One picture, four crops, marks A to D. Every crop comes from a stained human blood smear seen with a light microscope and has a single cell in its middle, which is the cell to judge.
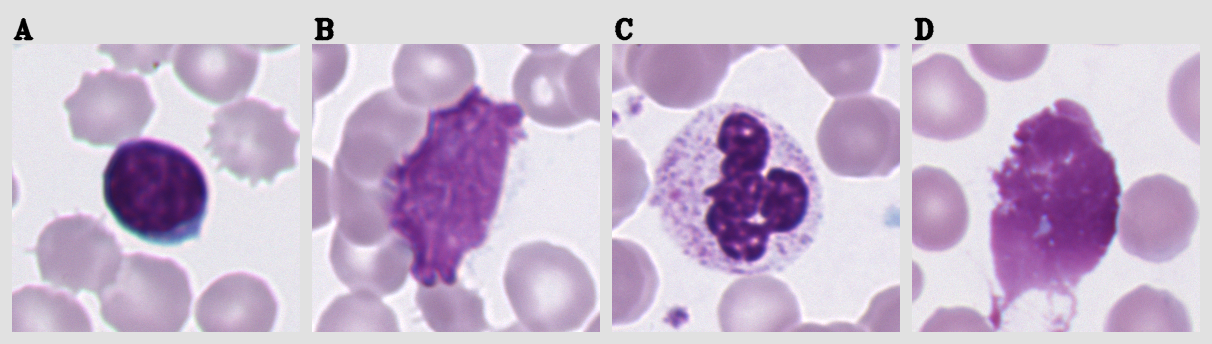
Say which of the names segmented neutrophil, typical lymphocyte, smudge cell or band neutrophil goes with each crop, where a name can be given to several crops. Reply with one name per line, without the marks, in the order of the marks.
typical lymphocyte
smudge cell
segmented neutrophil
smudge cell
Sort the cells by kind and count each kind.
smudge cell: 2
typical lymphocyte: 1
segmented neutrophil: 1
